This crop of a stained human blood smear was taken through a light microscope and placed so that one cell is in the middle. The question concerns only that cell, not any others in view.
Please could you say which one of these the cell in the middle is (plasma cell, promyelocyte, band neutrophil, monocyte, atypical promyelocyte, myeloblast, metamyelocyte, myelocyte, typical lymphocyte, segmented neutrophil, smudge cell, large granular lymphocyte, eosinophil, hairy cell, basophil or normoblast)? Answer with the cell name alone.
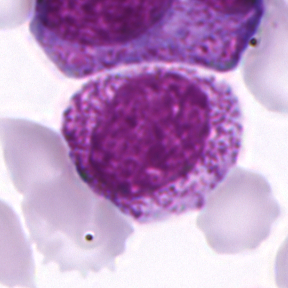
myelocyte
